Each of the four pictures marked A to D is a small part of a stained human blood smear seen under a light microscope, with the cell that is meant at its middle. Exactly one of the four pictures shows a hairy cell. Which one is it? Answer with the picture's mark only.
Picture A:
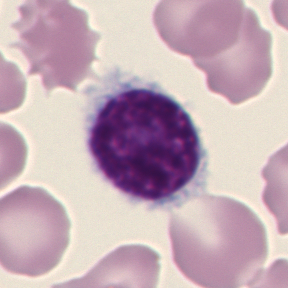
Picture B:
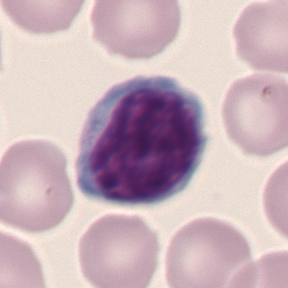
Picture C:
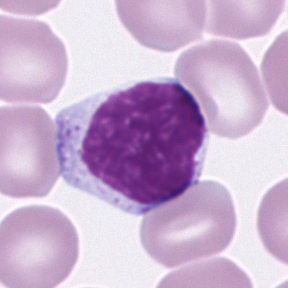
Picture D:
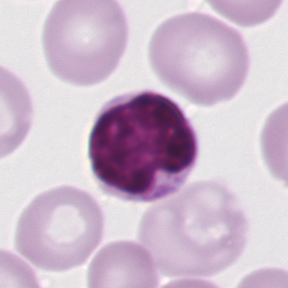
A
